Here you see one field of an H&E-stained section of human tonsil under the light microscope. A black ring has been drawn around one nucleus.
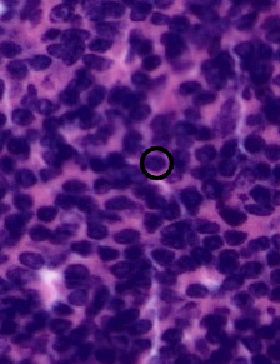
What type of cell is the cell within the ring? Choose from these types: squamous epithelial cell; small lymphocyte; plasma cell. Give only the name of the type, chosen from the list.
small lymphocyte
